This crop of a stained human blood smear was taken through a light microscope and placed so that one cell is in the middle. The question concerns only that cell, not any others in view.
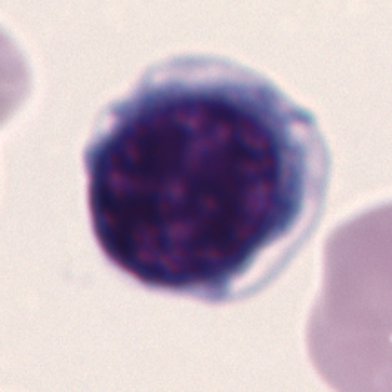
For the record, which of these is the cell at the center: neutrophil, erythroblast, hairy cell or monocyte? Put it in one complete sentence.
The center cell of this crop is an erythroblast.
